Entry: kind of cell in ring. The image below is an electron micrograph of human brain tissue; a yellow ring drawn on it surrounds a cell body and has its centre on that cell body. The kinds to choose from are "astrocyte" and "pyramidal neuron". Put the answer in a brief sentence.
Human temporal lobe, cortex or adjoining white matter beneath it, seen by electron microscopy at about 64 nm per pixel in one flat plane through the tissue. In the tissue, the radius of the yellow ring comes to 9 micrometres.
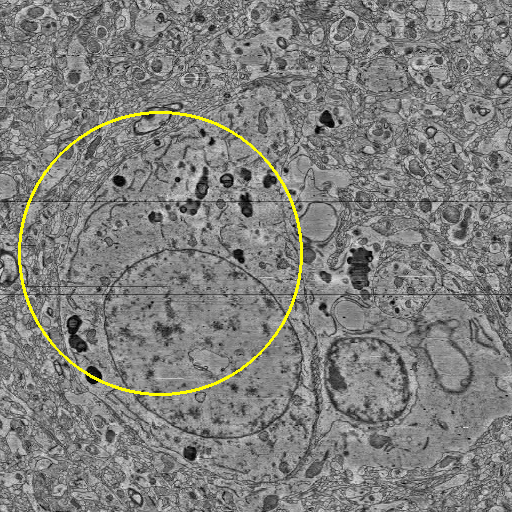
The ring has been drawn around a pyramidal neuron.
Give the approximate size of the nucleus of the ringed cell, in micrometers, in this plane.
Roughly 14 by 11 micrometres in this plane, for the nucleus of the ringed cell.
